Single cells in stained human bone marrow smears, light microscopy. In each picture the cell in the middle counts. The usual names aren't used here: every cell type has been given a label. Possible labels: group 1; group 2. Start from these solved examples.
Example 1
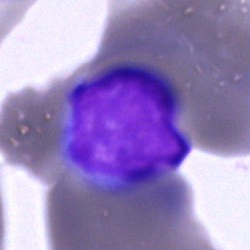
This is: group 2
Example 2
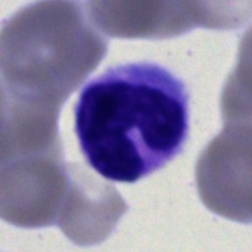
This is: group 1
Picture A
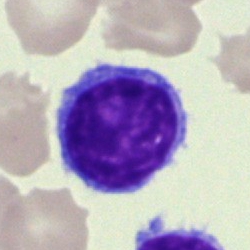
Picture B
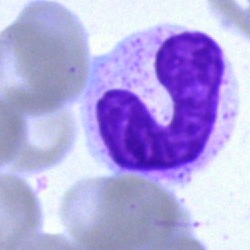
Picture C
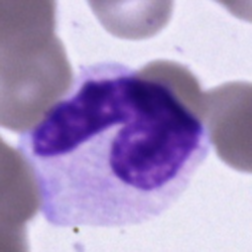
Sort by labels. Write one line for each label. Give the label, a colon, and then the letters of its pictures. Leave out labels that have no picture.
group 1: B, C
group 2: A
